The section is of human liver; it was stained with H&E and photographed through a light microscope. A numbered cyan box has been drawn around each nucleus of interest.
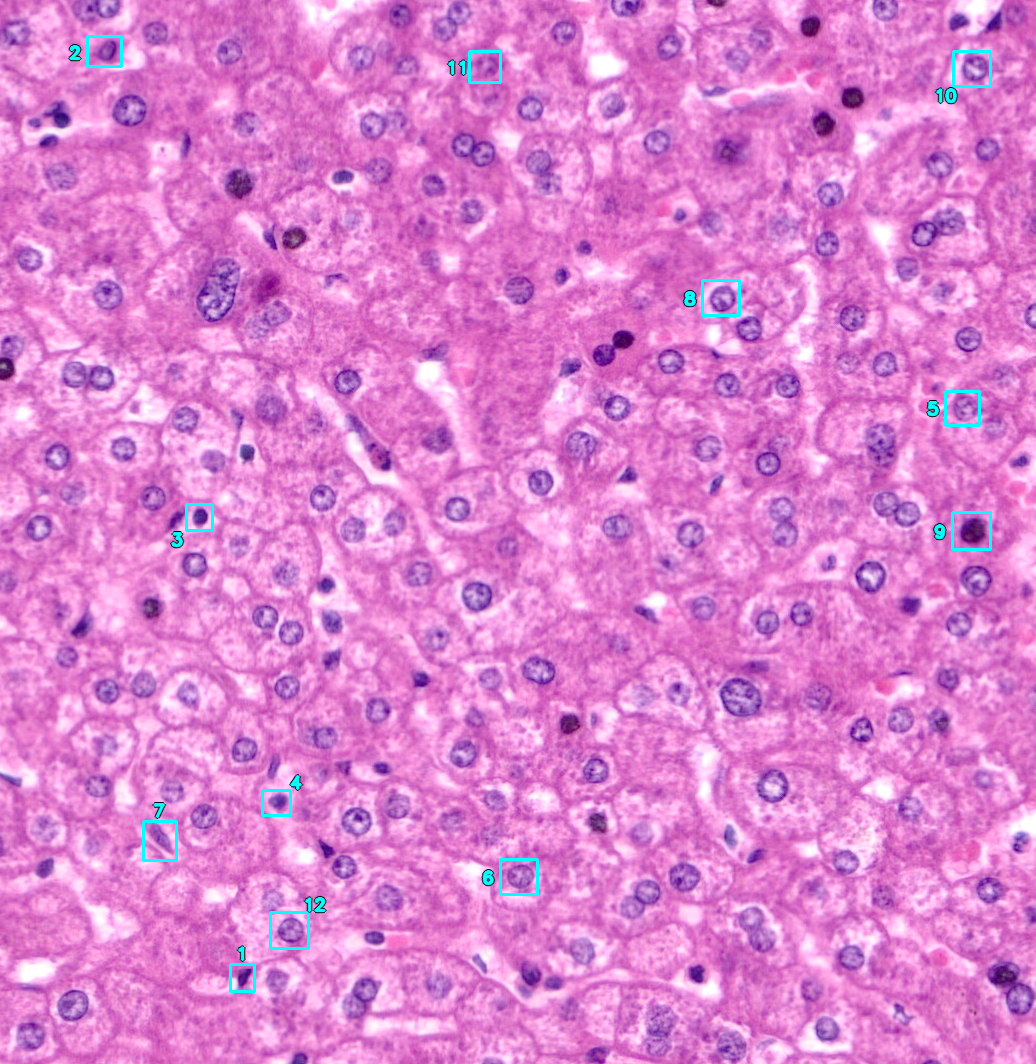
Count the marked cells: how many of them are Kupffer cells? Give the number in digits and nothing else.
2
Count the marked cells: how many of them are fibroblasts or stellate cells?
1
